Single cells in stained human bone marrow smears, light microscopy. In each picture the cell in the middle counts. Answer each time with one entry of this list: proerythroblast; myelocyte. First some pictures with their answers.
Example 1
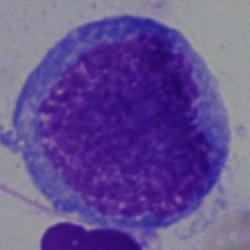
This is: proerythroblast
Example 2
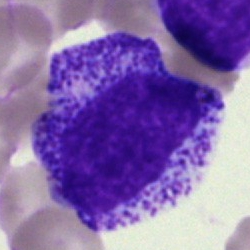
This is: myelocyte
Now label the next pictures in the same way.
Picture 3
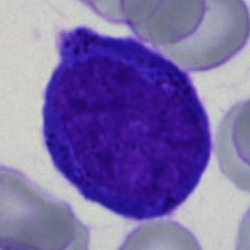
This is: proerythroblast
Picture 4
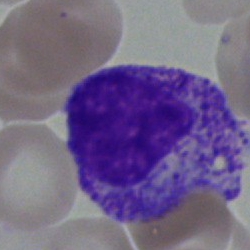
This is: myelocyte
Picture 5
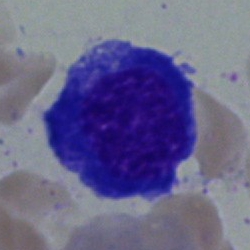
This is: proerythroblast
